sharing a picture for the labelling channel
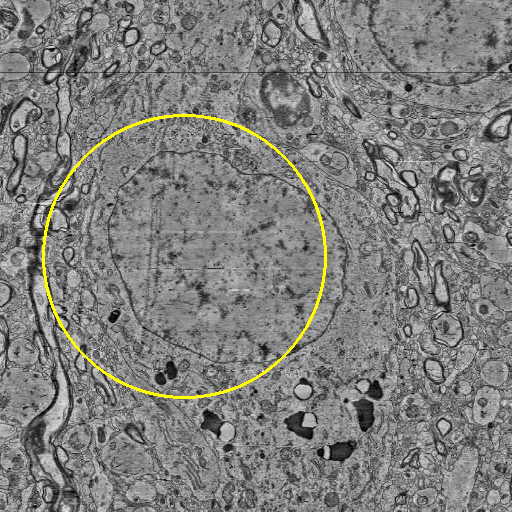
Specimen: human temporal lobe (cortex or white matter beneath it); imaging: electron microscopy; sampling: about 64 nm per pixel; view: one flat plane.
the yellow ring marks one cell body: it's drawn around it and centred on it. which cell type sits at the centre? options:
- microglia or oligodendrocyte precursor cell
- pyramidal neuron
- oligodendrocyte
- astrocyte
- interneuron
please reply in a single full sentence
In the picture, the cell at the ring's centre is a pyramidal neuron, going by the list.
